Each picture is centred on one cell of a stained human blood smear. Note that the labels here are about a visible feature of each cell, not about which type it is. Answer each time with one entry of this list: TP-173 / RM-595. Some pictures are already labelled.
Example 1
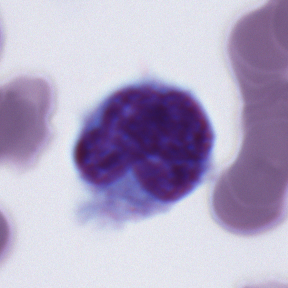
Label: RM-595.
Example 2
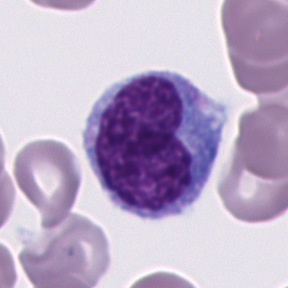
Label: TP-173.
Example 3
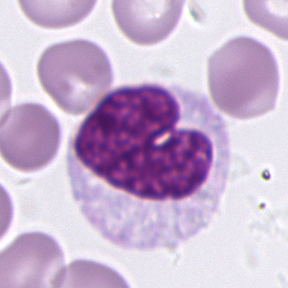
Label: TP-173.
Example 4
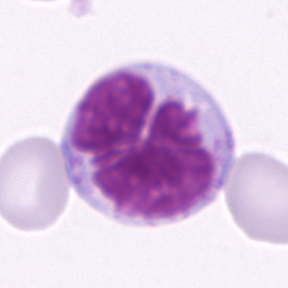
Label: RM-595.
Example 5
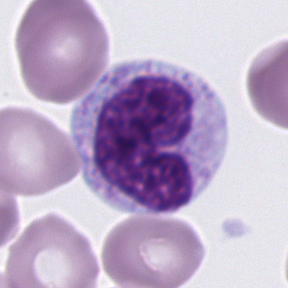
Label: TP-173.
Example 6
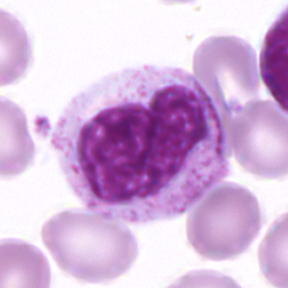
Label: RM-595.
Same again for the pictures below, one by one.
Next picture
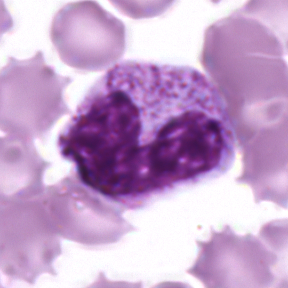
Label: RM-595.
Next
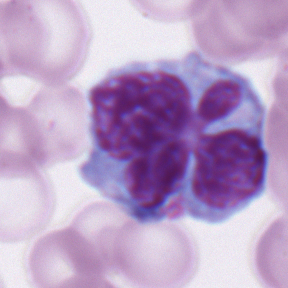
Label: RM-595.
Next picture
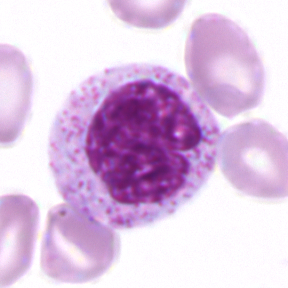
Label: TP-173.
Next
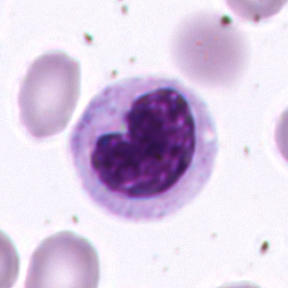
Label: TP-173.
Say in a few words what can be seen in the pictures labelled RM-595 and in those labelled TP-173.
RM-595, lobed nucleus; TP-173, single compact nucleus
